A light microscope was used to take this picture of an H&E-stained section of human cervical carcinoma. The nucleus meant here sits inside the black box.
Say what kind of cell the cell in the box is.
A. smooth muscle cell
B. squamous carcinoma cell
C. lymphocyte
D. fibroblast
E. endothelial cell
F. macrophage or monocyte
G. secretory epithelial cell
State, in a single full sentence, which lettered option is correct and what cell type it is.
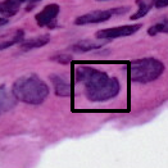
It is correct to say that the cell in the box is a secretory epithelial cell, as option G does.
